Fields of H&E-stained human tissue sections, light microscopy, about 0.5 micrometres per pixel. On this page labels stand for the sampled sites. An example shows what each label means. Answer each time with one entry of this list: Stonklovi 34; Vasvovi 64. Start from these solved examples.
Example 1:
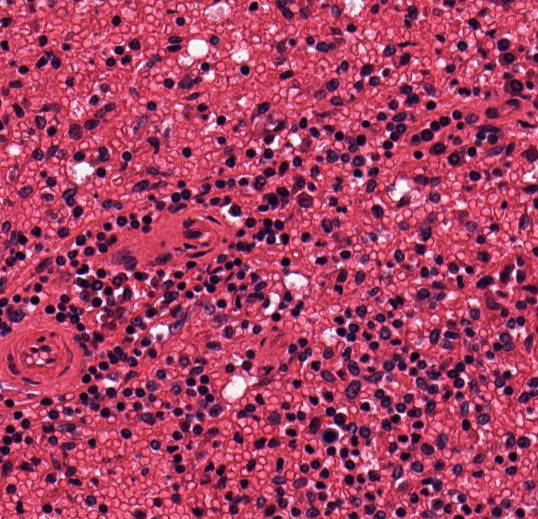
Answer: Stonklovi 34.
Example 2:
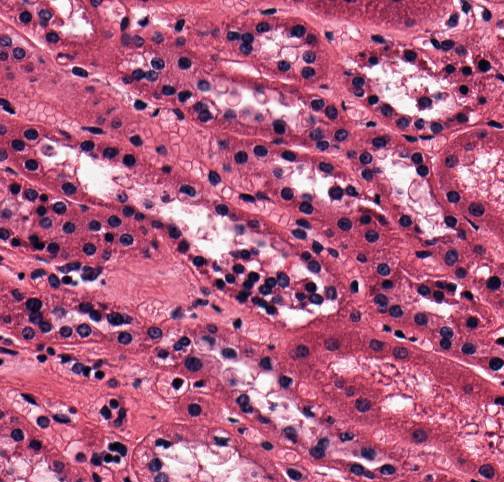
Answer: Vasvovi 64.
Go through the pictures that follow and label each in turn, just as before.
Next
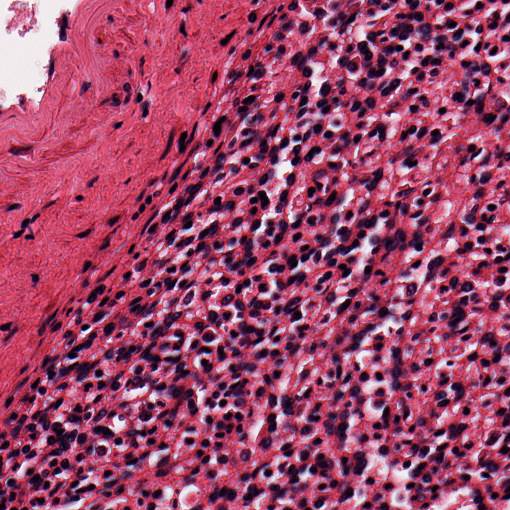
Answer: Stonklovi 34.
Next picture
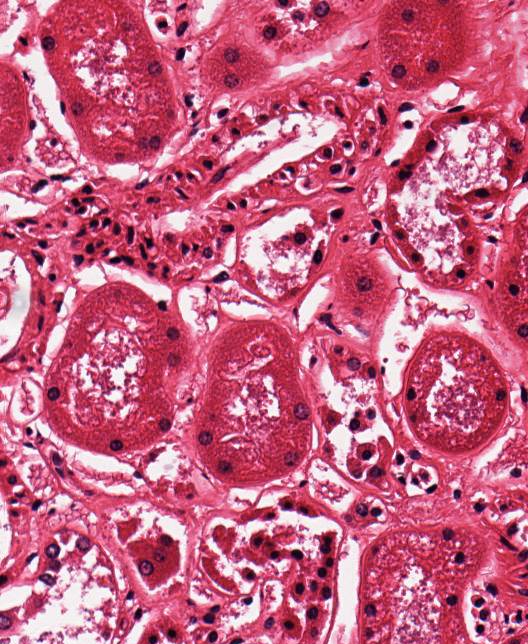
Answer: Vasvovi 64.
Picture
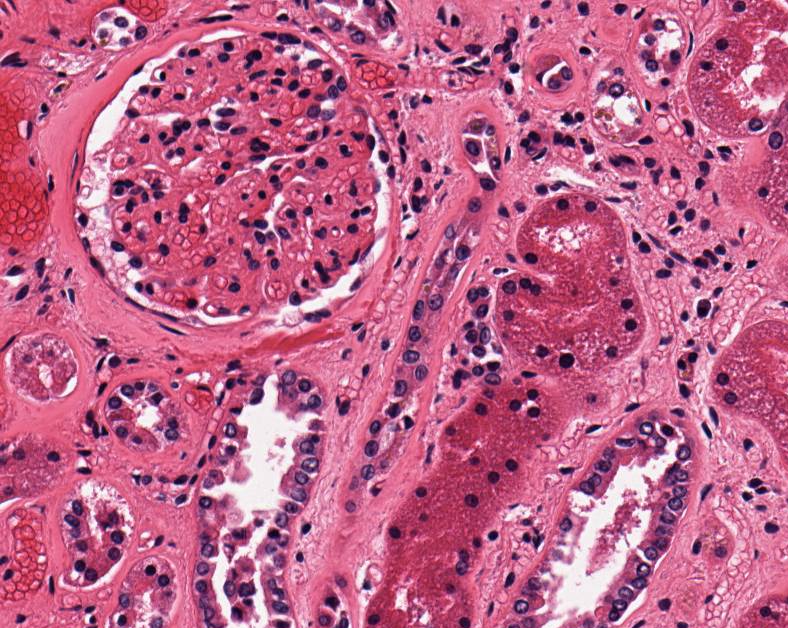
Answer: Vasvovi 64.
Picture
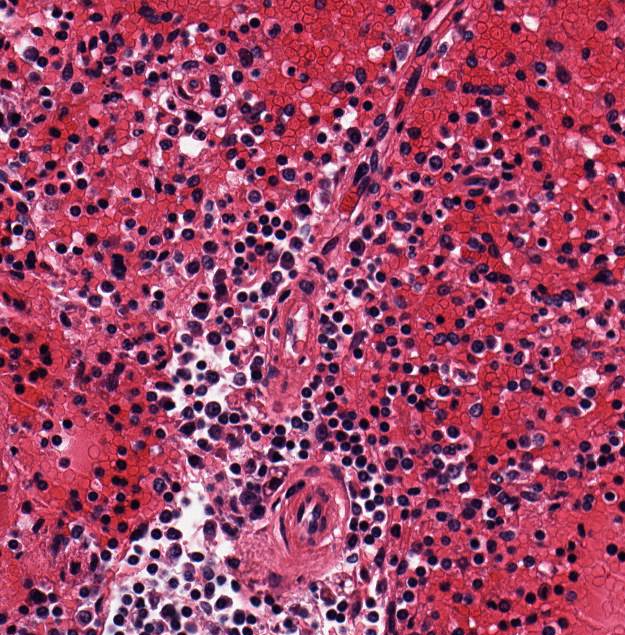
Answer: Stonklovi 34.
